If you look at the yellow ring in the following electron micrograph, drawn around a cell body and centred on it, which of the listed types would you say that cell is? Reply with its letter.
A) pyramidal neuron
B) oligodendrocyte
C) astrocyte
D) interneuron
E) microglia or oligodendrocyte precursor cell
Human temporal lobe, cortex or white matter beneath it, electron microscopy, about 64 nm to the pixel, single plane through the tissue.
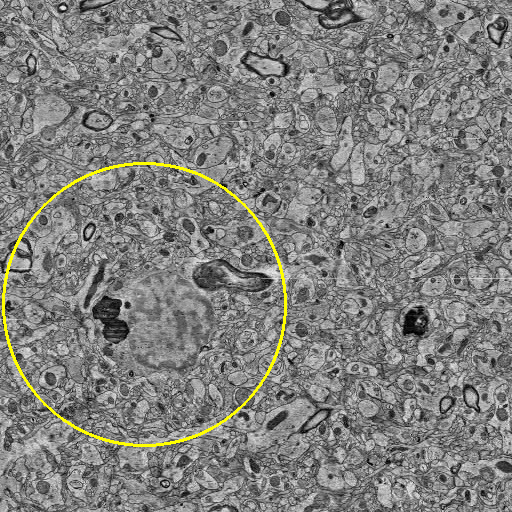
B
